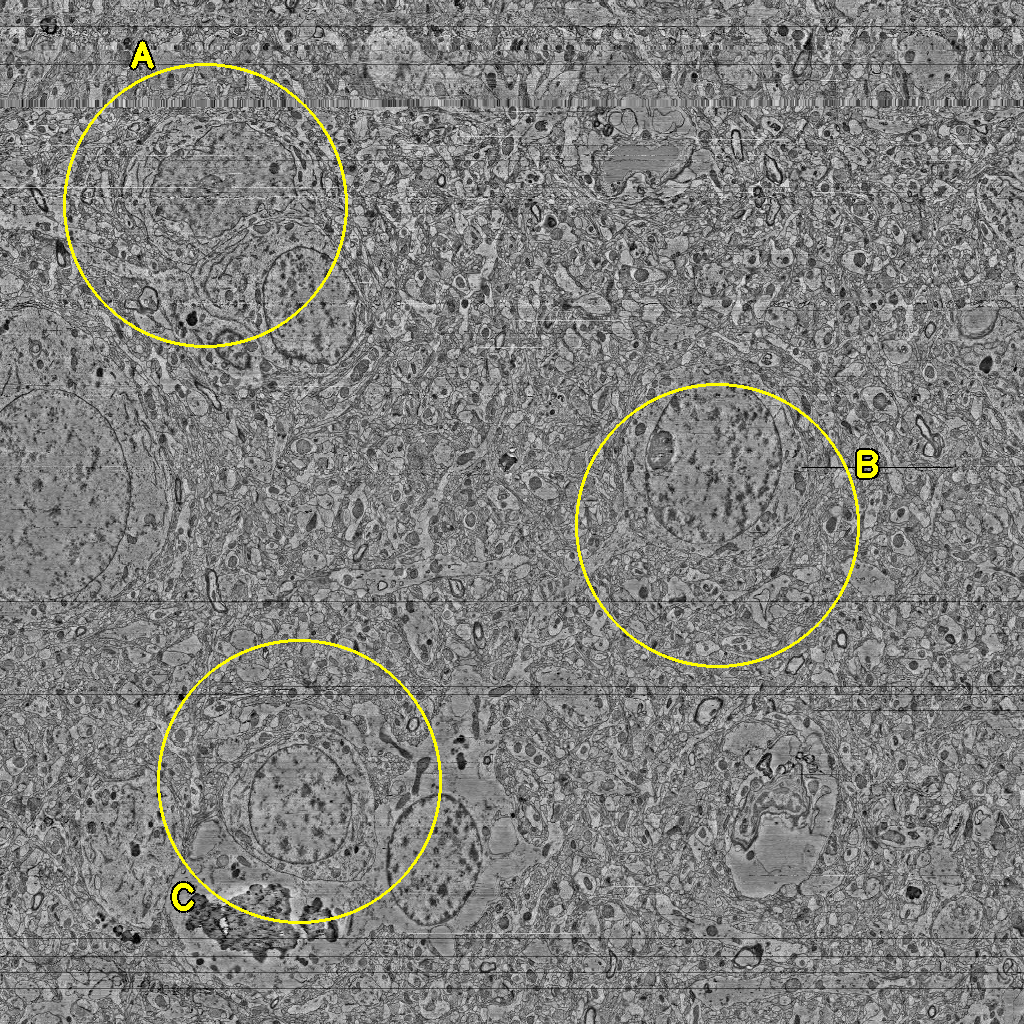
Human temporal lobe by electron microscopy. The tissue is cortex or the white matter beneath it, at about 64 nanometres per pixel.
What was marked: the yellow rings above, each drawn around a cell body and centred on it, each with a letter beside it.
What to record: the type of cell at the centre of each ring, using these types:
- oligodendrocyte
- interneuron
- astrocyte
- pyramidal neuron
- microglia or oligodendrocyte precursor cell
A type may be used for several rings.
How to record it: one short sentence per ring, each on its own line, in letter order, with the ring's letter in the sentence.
Centred in ring A is an interneuron.
Centred in ring B is a pyramidal neuron.
Centred in ring C is a pyramidal neuron.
